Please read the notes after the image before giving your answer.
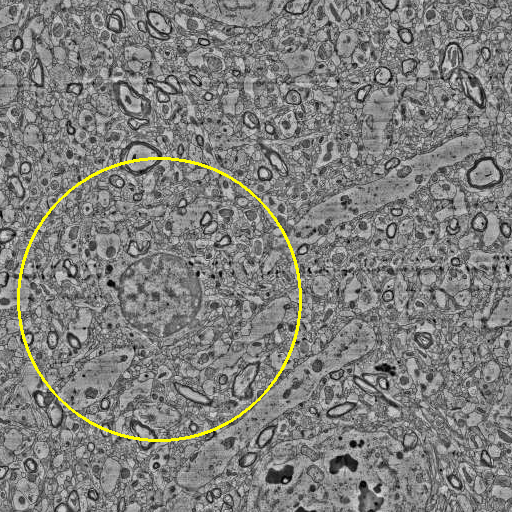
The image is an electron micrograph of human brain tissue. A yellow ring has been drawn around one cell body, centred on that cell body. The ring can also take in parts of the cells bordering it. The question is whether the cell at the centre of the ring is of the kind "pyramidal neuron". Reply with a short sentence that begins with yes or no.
No, the cell at the centre is of another kind.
